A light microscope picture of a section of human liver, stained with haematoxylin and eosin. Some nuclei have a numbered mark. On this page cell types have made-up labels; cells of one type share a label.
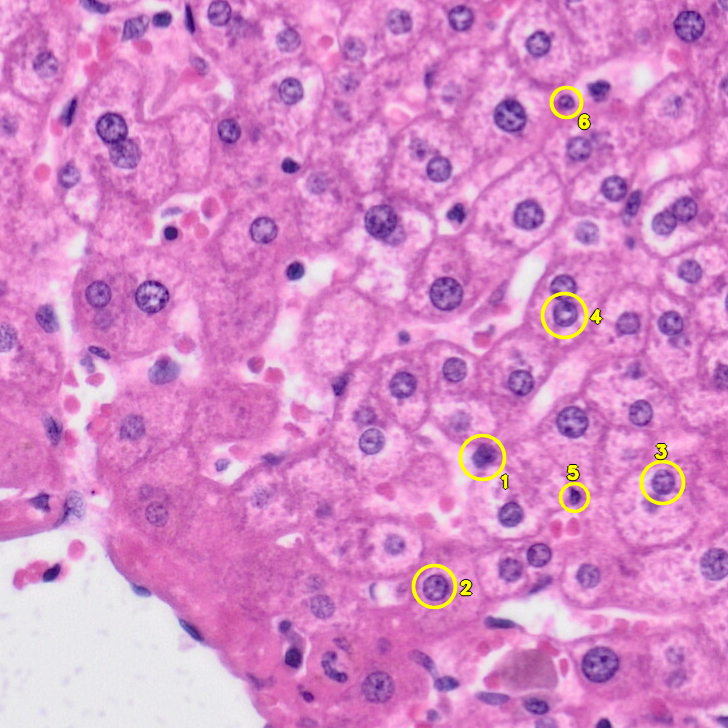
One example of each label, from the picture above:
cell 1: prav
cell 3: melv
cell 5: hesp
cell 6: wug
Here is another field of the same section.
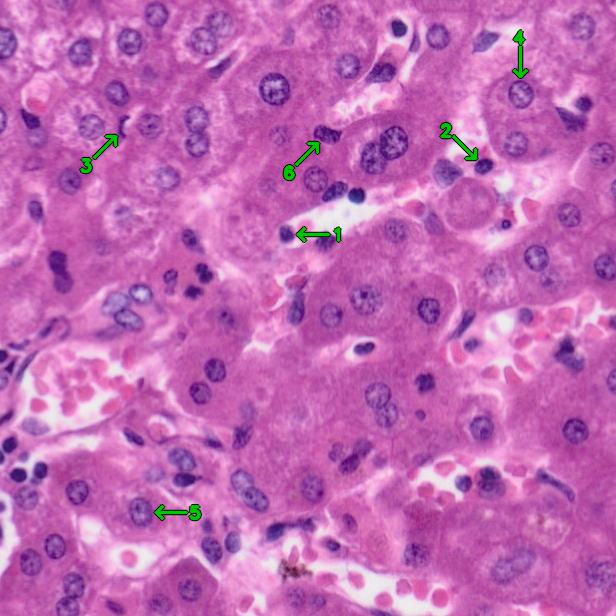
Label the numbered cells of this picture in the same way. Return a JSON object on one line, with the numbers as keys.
{"1": "wug", "2": "wug", "3": "prav", "4": "melv", "5": "melv", "6": "hesp"}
